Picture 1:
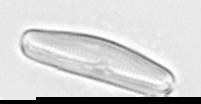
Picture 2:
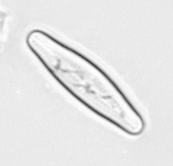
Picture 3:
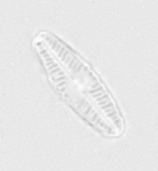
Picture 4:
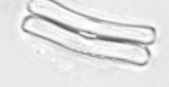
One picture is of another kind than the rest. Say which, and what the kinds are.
Picture 3 shows Planothidium; the rest show Achnanthidium.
